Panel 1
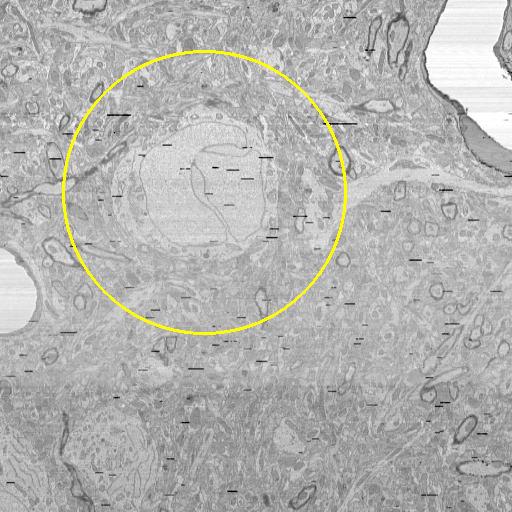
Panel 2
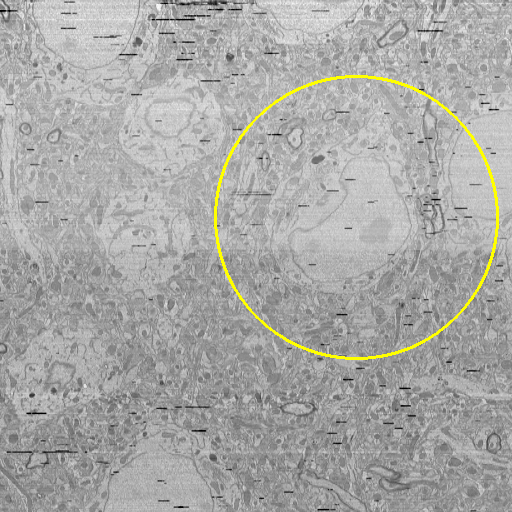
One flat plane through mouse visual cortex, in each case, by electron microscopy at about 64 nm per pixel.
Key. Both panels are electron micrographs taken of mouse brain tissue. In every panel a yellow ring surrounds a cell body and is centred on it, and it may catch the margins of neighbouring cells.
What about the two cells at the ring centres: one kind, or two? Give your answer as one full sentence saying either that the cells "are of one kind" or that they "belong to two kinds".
Across Panels 1 and 2, the two cells at the ring centres are of one kind.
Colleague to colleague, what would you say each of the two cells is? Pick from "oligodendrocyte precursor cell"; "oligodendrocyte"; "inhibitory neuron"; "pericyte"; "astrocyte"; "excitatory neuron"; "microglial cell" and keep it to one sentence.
Both pictures show an excitatory neuron at the centre of the ring.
